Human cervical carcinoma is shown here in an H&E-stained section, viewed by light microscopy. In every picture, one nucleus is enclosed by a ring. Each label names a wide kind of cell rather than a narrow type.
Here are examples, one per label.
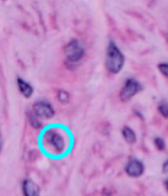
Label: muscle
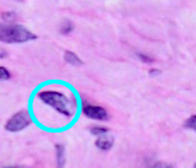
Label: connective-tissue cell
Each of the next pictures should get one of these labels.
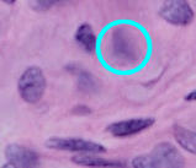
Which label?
connective-tissue cell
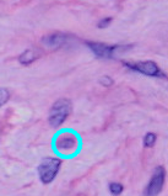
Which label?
muscle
